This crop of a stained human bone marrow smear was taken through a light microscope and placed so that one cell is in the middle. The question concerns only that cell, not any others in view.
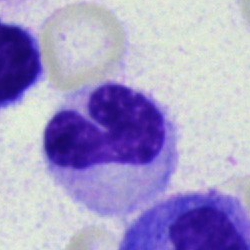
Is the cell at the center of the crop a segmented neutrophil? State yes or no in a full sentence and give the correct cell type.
No, instead of being a segmented neutrophil, the middle cell is a band neutrophil.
